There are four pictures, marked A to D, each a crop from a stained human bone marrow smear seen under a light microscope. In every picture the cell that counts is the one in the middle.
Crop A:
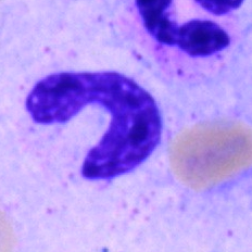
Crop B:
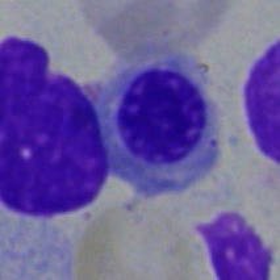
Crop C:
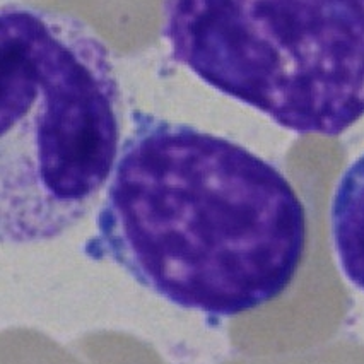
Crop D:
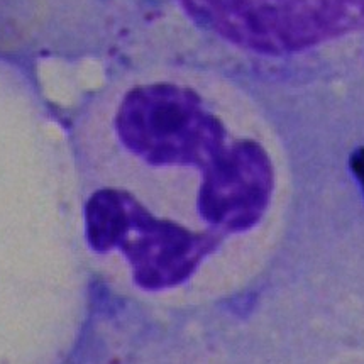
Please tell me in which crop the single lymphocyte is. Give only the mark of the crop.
C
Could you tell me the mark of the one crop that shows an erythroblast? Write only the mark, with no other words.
B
